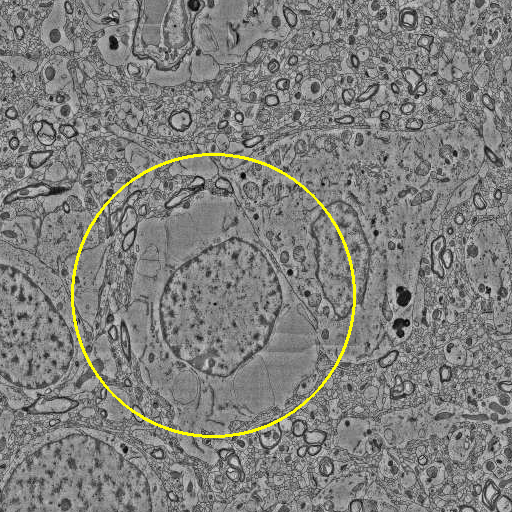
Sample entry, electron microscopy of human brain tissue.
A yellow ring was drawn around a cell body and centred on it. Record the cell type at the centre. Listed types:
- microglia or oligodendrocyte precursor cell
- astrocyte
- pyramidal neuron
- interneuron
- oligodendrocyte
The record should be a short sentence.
The cell at the ring's centre is an astrocyte.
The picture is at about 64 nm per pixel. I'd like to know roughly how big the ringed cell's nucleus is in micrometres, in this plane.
In this plane the nucleus measures roughly 9 by 8 micrometers.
